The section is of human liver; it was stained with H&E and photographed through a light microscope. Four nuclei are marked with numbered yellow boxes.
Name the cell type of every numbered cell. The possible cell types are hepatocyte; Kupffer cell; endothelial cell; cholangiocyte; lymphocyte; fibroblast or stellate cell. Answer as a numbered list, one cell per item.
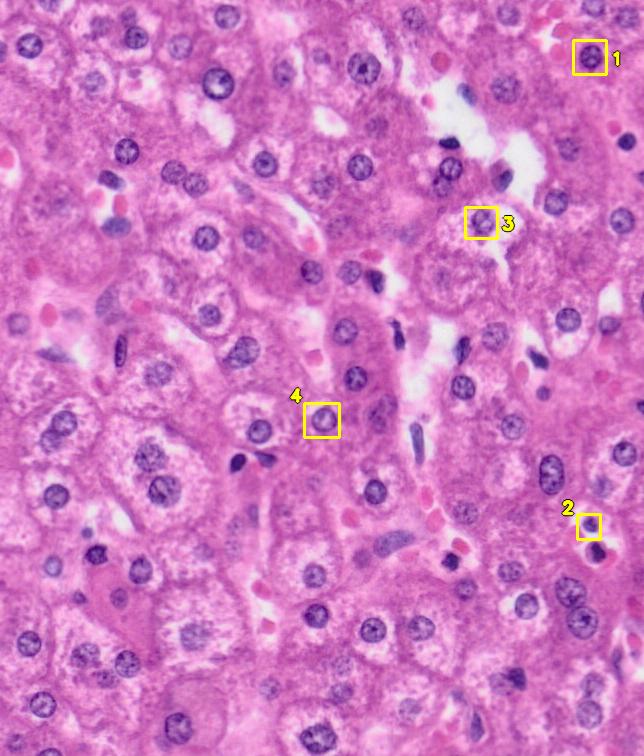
1. hepatocyte
2. lymphocyte
3. hepatocyte
4. hepatocyte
